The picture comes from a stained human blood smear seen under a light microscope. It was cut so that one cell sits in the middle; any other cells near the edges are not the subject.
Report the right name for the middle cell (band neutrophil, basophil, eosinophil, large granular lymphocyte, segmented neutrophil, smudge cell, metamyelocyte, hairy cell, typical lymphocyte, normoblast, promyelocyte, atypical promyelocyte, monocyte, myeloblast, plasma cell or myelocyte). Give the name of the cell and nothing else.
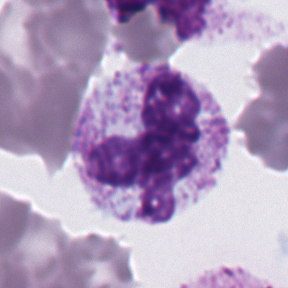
segmented neutrophil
